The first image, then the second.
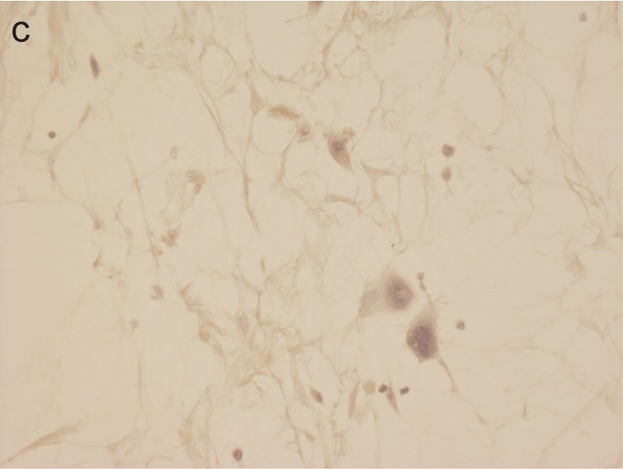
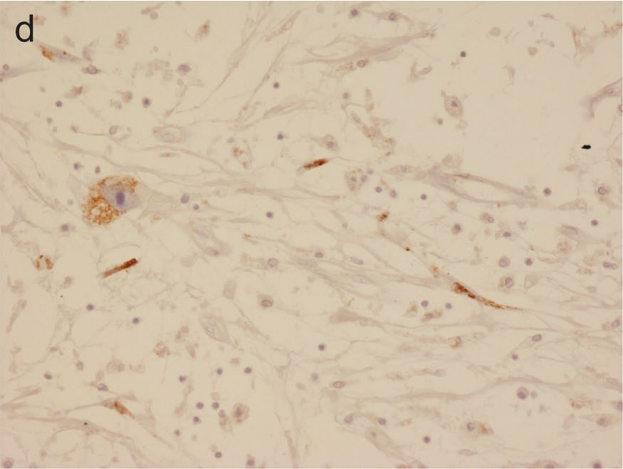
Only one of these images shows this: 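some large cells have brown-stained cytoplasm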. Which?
The second image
